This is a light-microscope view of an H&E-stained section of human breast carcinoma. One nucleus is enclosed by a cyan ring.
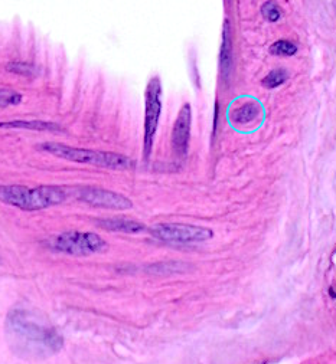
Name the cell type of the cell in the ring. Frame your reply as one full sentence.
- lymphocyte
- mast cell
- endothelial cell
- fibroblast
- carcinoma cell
Within the stained tissue, the cell in the ring is an endothelial cell.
